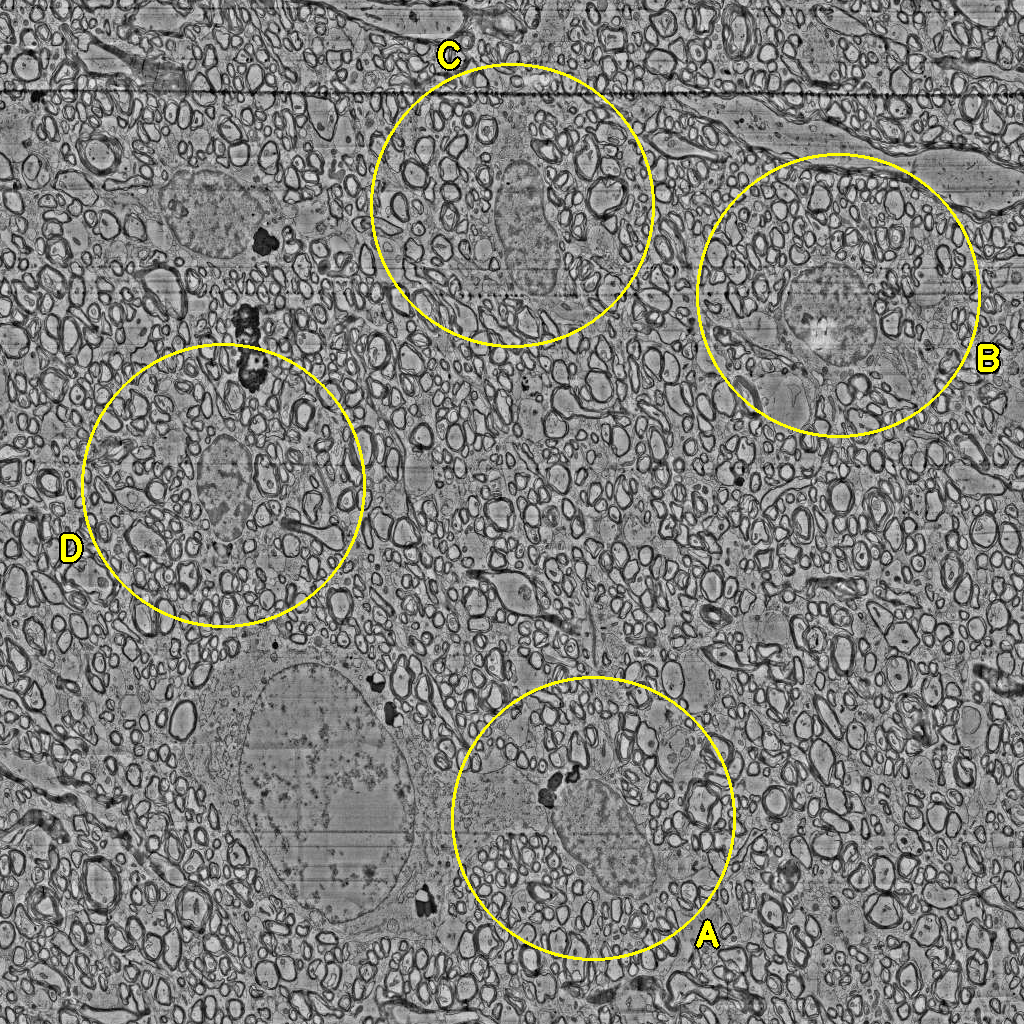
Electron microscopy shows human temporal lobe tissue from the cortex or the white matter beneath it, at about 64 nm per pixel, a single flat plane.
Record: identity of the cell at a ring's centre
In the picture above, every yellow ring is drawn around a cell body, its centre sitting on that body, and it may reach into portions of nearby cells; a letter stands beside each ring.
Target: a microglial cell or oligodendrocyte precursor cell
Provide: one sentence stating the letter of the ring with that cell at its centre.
The letter of the ring centred on a cell of that kind is D.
